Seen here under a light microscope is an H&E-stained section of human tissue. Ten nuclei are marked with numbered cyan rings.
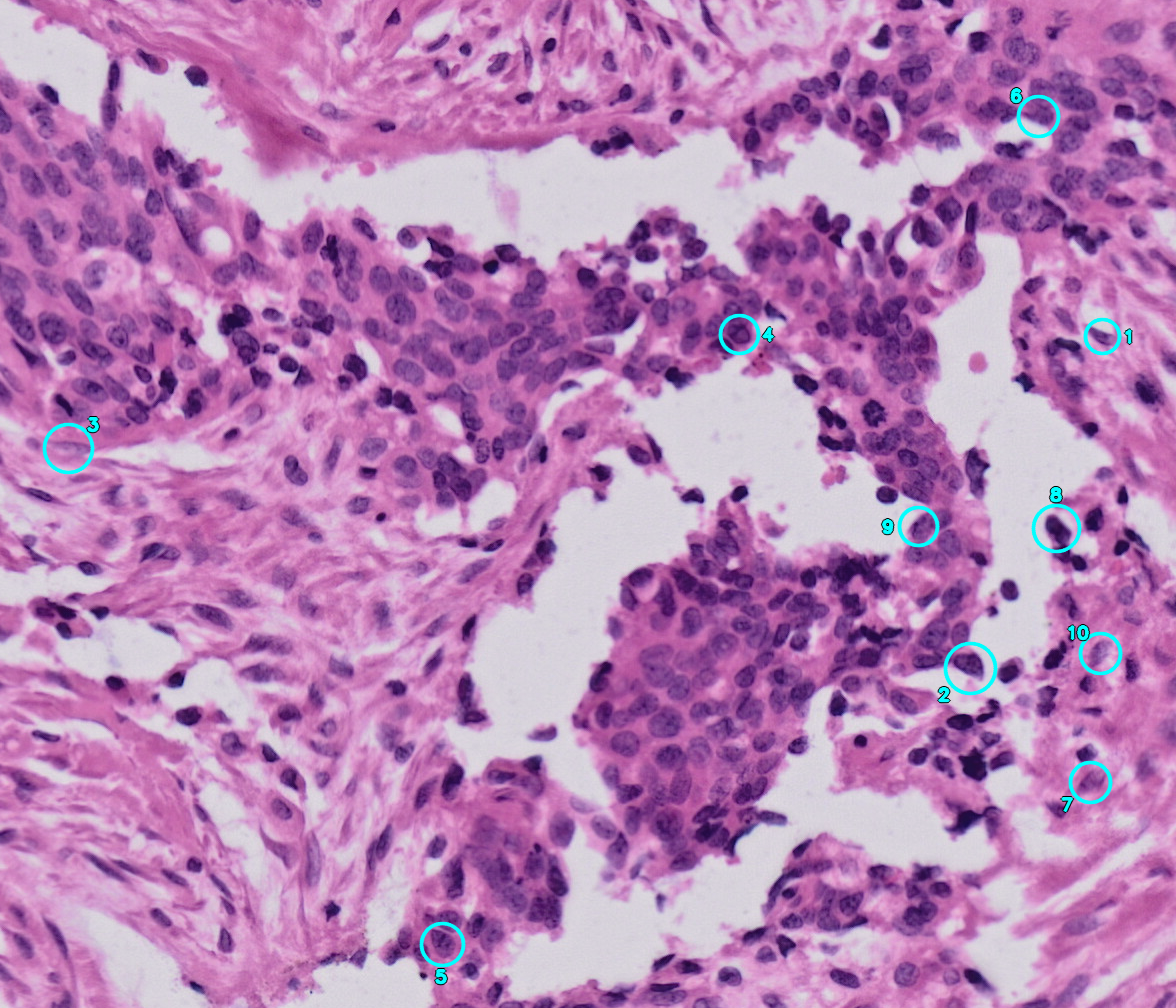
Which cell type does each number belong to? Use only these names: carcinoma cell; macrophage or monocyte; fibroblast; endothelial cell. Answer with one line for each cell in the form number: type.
1: fibroblast
2: carcinoma cell
3: fibroblast
4: carcinoma cell
5: macrophage or monocyte
6: carcinoma cell
7: fibroblast
8: carcinoma cell
9: carcinoma cell
10: fibroblast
